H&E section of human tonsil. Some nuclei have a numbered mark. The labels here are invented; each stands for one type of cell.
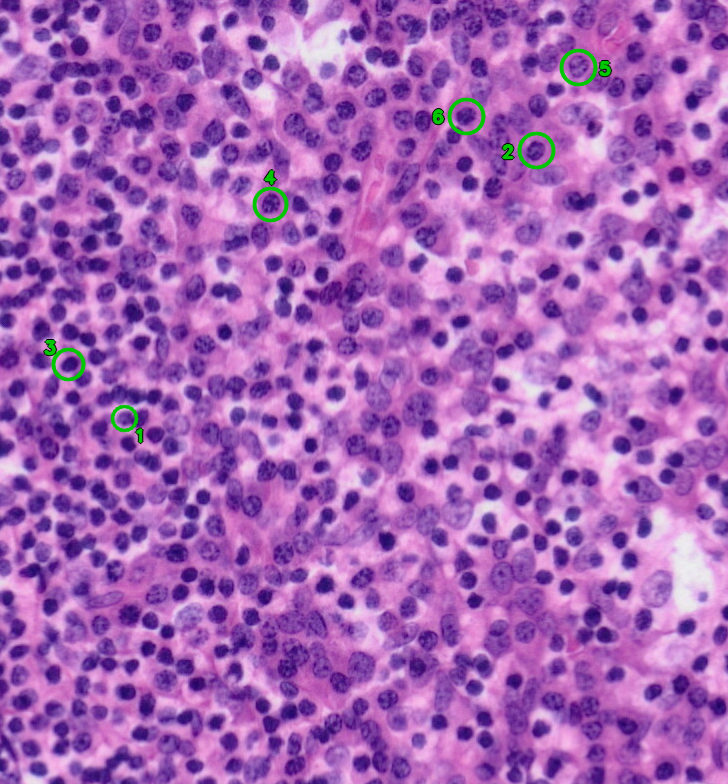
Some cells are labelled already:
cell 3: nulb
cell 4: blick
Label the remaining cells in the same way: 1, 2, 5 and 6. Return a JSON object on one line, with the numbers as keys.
{"1": "nulb", "2": "blick", "5": "blick", "6": "blick"}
